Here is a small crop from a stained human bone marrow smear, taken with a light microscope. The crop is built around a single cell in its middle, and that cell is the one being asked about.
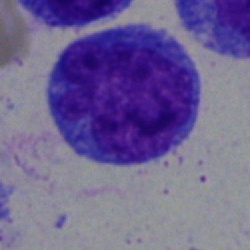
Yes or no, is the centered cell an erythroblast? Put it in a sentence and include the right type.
No, the cell in the middle is recognised as a blast rather than an erythroblast.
